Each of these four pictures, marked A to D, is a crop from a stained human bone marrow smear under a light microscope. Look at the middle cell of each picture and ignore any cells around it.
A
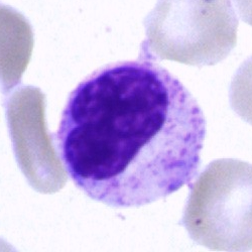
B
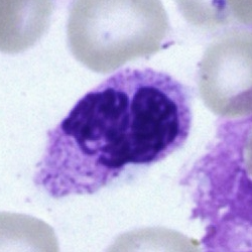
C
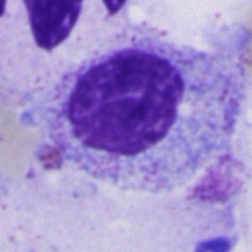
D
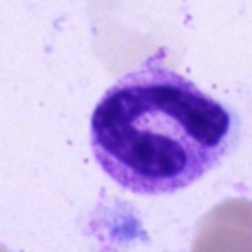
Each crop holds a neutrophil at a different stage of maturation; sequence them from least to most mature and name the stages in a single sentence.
Maturation proceeds in the order crop C (a myelocyte), crop A (a metamyelocyte), crop D (a band neutrophil) and crop B (a segmented neutrophil).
